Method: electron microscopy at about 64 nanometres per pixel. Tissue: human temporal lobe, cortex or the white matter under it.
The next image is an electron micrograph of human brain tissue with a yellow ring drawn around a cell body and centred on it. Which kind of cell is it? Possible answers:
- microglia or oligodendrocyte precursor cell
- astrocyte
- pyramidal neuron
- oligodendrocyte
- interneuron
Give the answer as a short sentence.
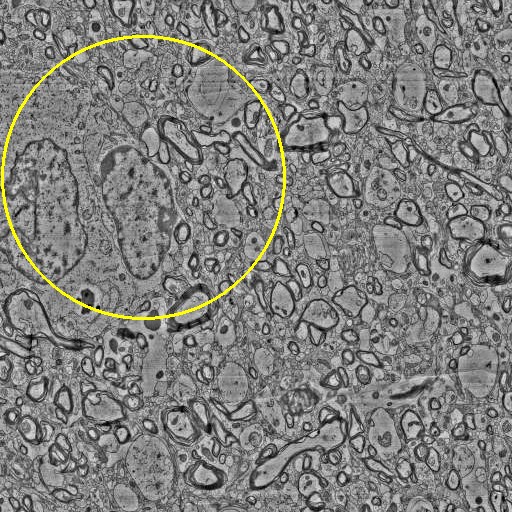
In the ring's centre is a microglial cell or oligodendrocyte precursor cell.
